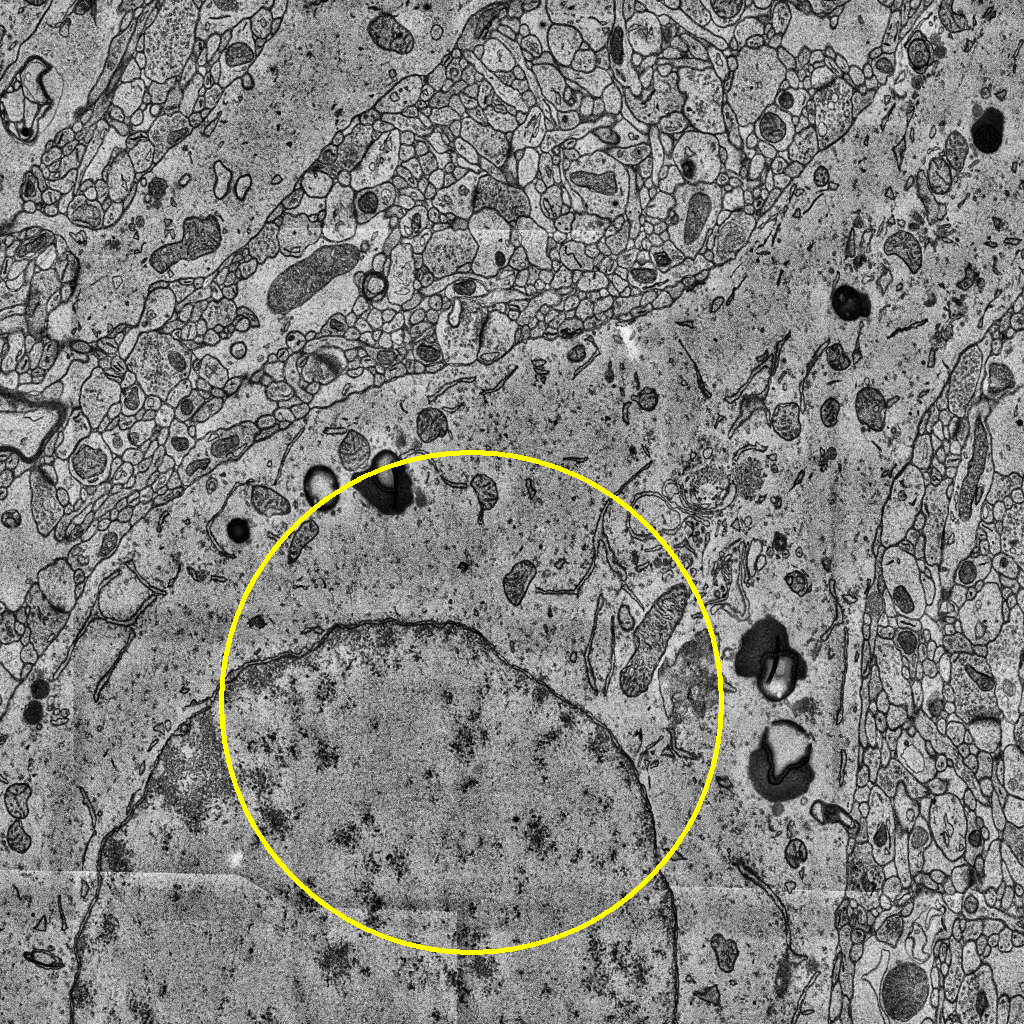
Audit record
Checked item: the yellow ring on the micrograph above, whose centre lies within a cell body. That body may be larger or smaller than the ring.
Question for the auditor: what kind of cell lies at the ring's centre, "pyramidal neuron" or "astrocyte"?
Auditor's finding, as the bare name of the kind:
pyramidal neuron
